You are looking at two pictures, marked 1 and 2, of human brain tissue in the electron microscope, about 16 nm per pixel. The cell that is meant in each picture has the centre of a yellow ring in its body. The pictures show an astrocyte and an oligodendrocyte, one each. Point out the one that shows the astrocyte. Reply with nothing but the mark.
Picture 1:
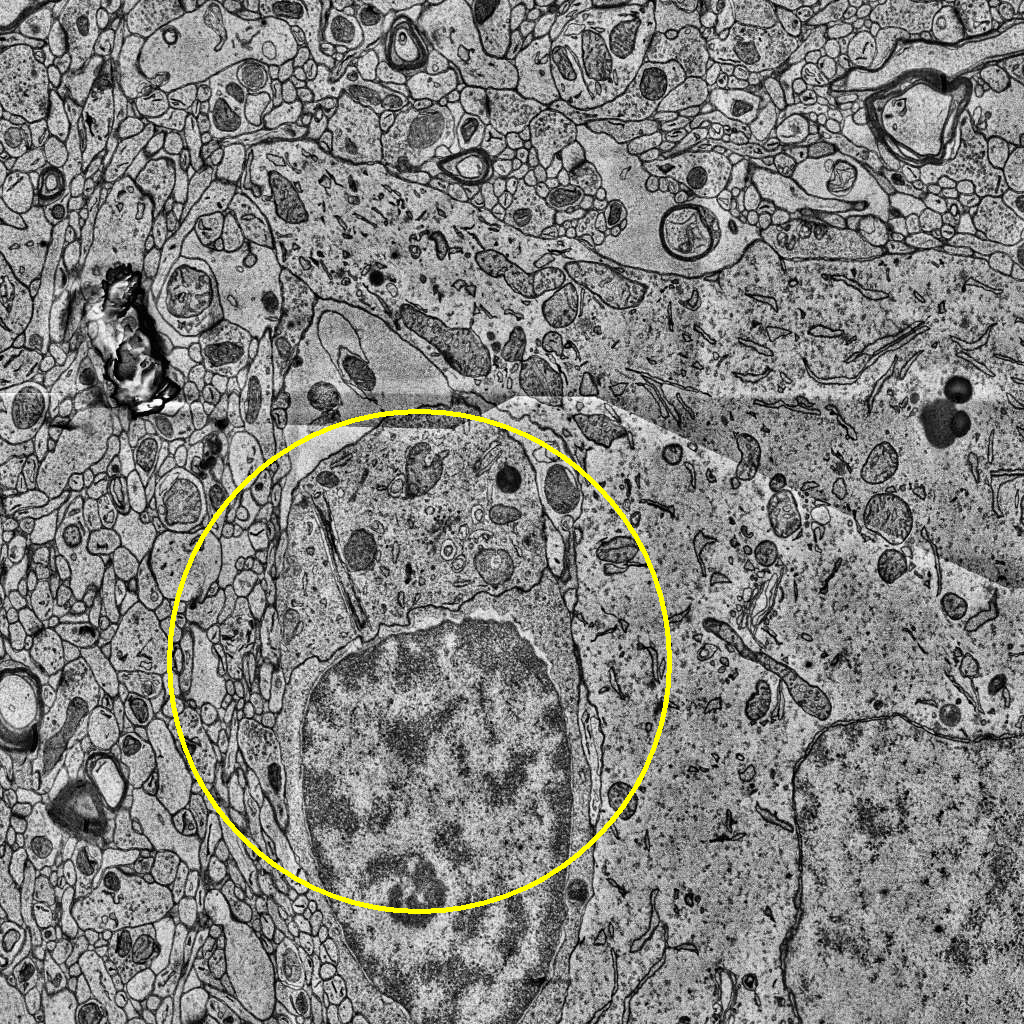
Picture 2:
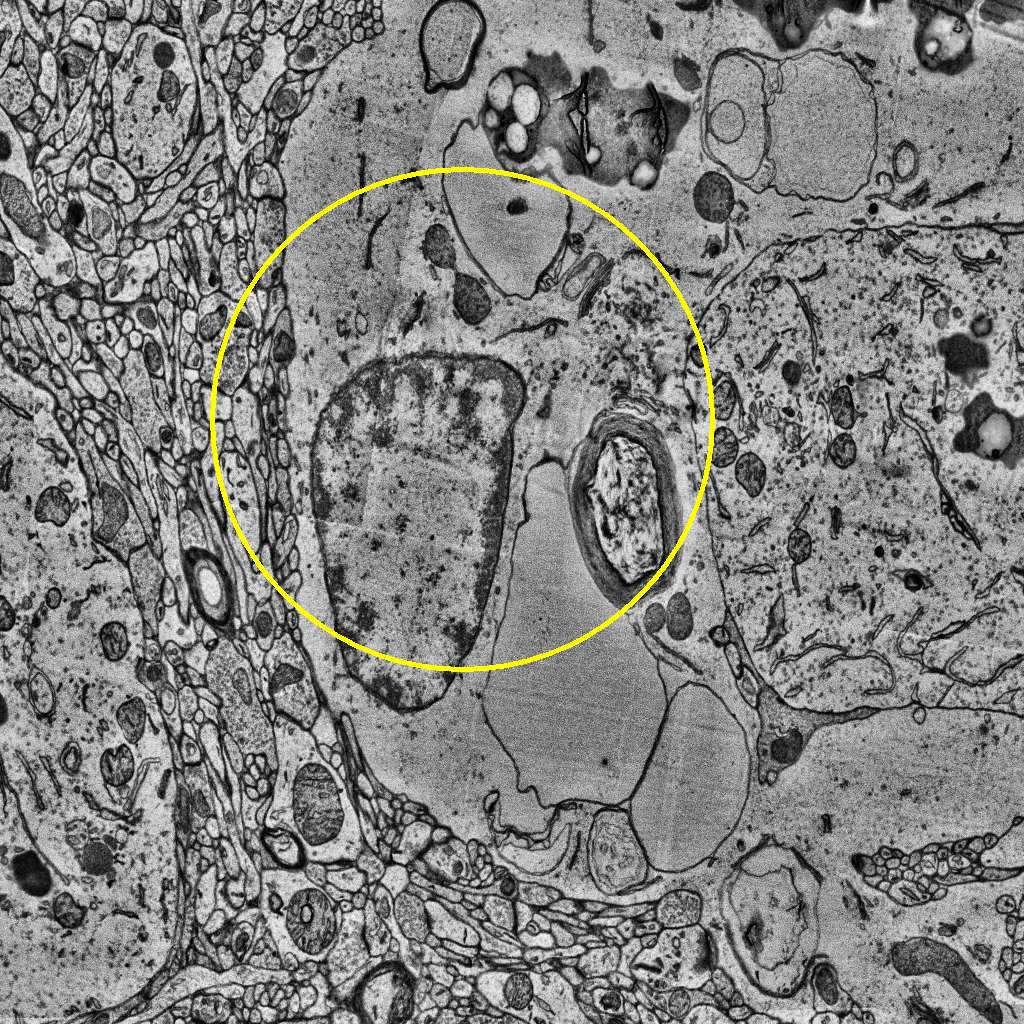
2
